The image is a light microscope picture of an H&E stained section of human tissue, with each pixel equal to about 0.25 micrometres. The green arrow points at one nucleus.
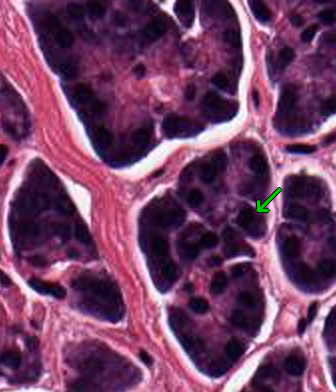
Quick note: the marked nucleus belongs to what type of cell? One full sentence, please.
The nucleus bearing the mark belongs to a pancreatic acinar cell.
